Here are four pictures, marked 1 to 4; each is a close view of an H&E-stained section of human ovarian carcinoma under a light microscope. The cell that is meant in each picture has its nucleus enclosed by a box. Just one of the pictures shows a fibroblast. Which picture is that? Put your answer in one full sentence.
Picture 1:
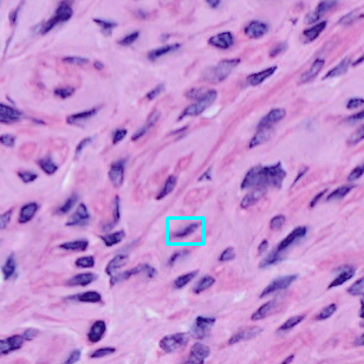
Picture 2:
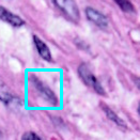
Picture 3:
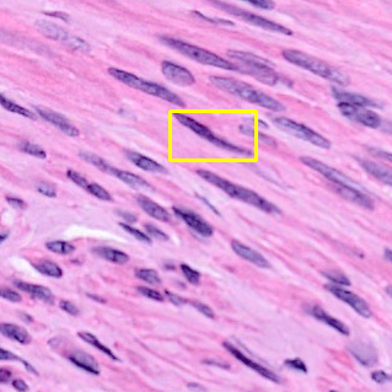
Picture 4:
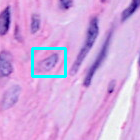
It is picture 2 that shows the fibroblast.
